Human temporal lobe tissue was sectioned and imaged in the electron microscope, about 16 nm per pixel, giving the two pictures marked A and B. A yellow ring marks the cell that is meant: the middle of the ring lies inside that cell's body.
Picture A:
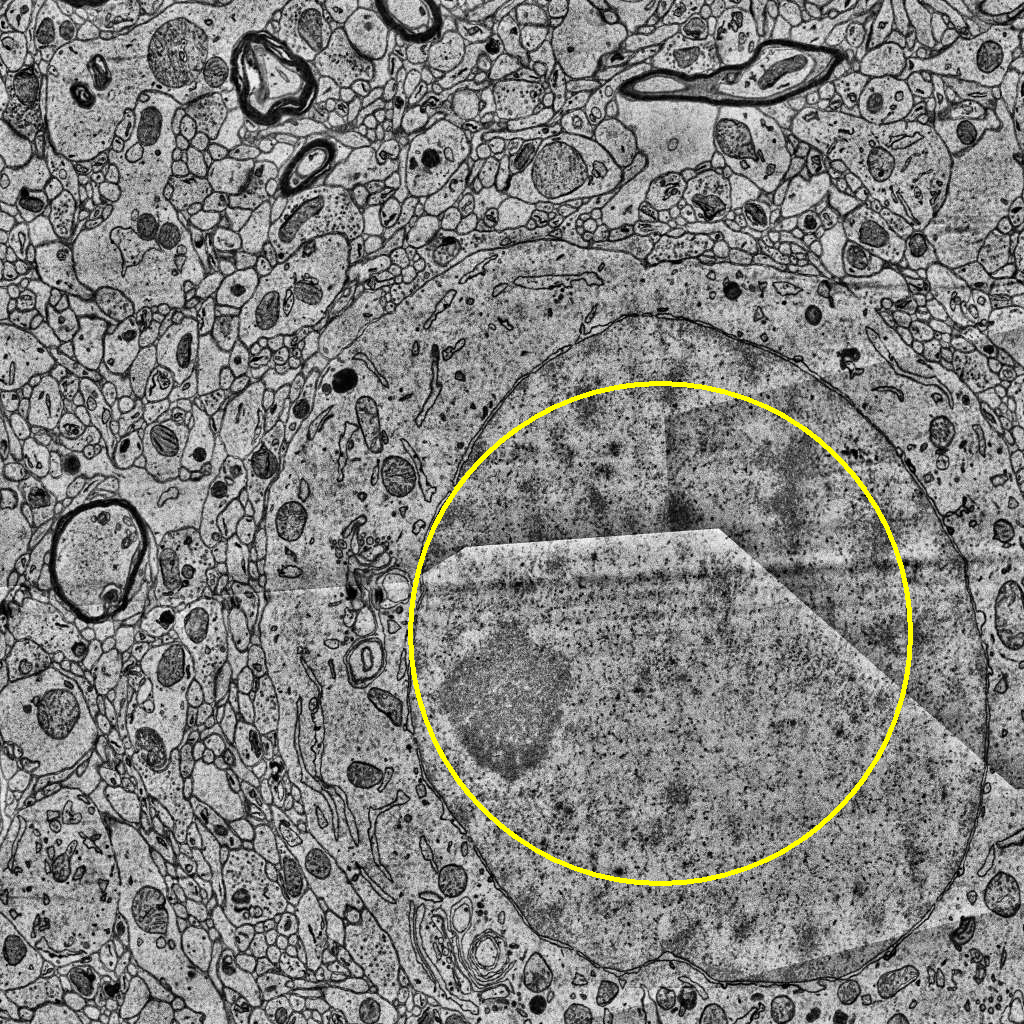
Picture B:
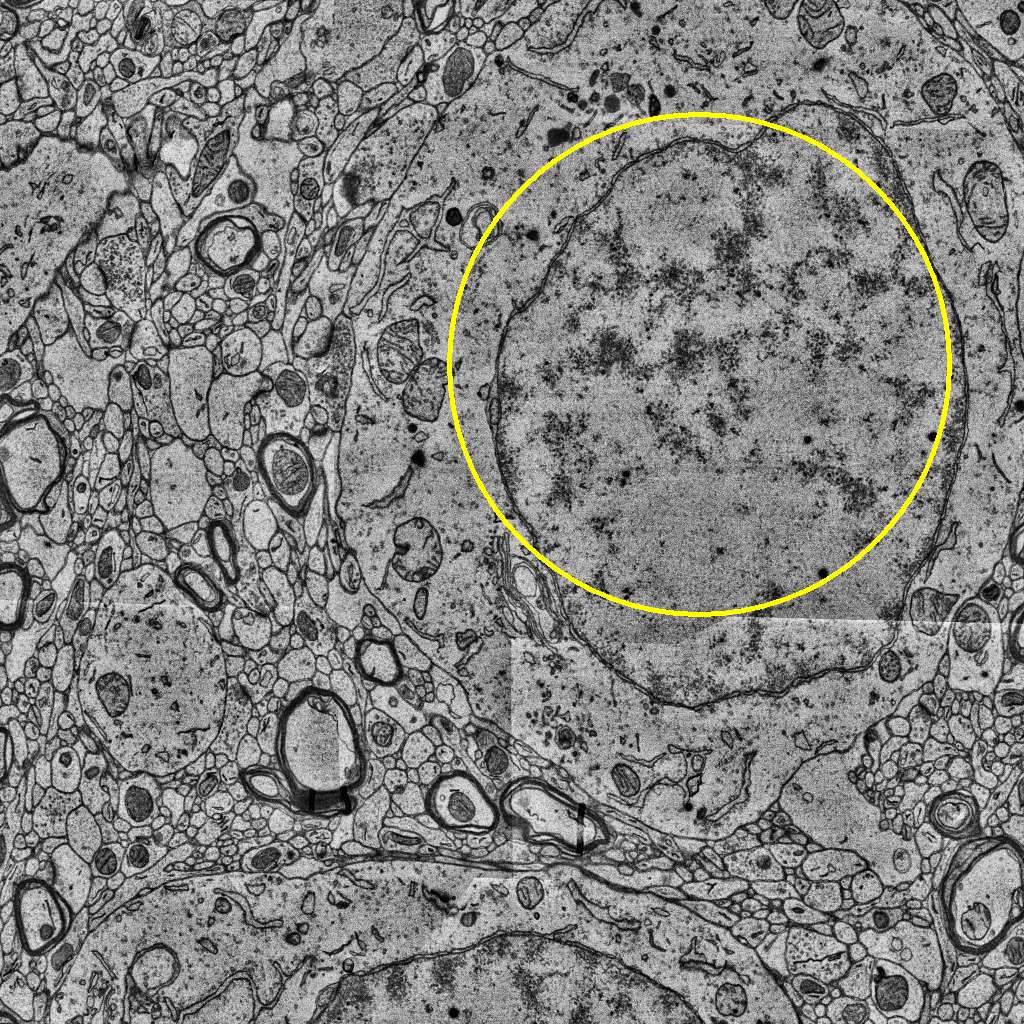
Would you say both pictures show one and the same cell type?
No; the cell in picture A is an interneuron, while the one in picture B is a pyramidal neuron.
